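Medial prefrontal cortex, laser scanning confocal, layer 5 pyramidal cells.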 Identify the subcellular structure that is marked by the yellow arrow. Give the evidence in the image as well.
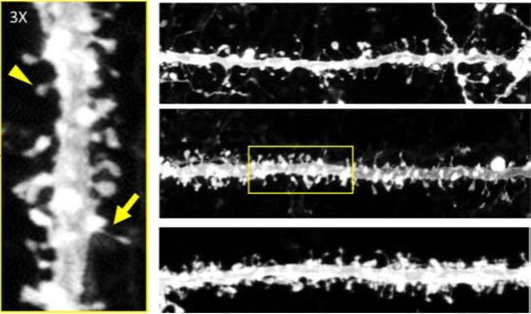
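Thin-necked, immature spines. The arrow points to a slender protrusion at the edge of the dendrite. The protrusion is thin, with no large head.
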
